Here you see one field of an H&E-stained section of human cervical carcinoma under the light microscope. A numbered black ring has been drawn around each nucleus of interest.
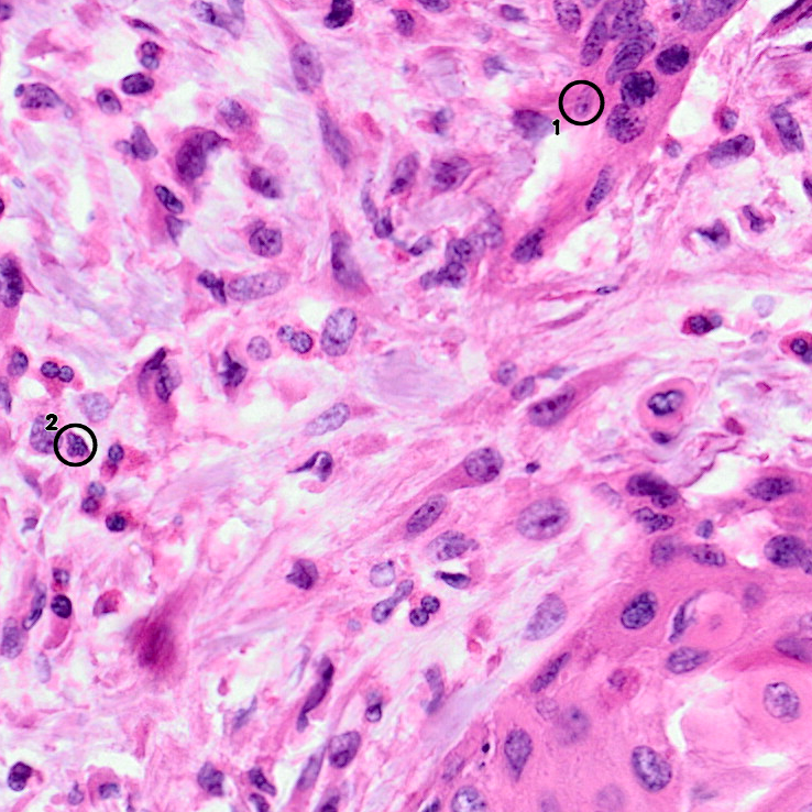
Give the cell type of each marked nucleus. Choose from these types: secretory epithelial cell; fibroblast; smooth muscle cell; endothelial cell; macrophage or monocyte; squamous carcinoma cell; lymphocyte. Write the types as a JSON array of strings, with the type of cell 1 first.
["squamous carcinoma cell", "lymphocyte"]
